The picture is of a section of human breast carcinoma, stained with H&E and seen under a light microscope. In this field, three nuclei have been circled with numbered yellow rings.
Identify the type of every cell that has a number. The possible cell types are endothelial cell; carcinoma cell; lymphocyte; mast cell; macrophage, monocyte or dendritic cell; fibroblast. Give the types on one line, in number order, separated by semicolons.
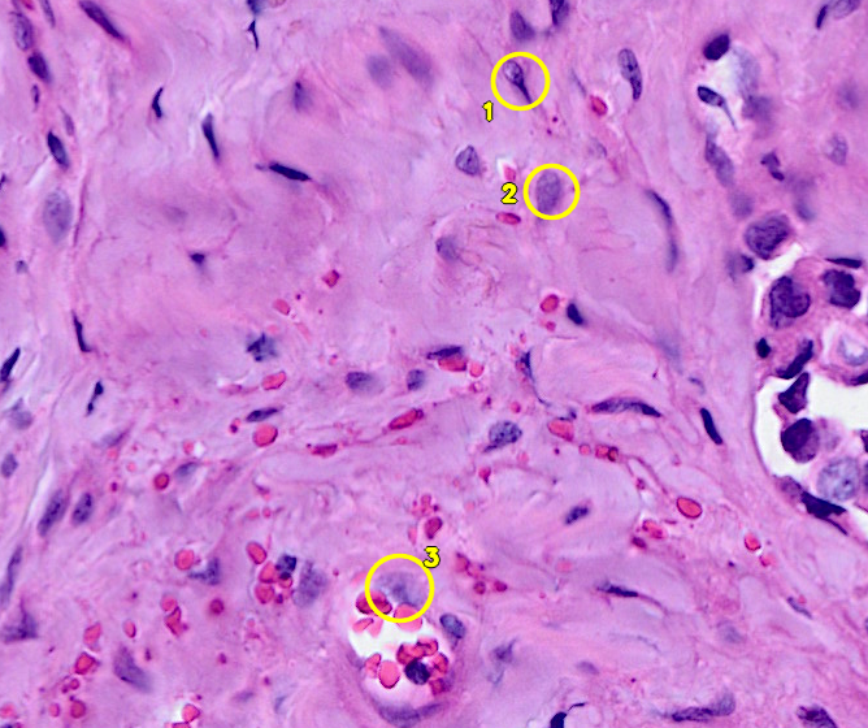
fibroblast; fibroblast; endothelial cell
